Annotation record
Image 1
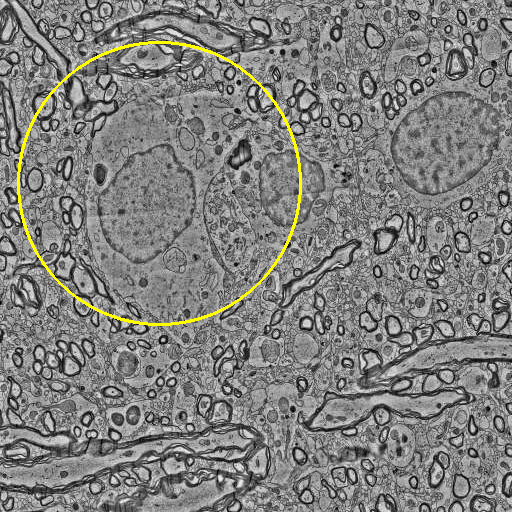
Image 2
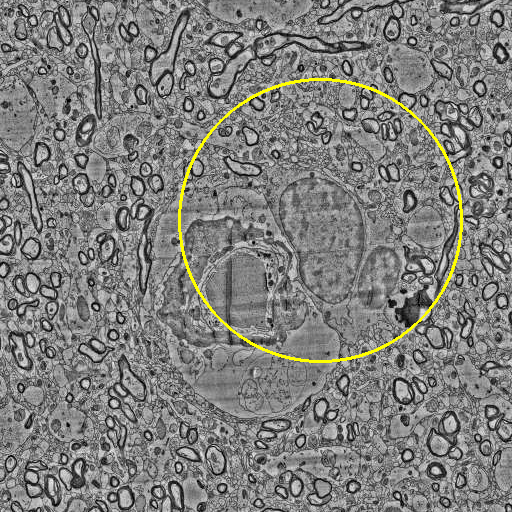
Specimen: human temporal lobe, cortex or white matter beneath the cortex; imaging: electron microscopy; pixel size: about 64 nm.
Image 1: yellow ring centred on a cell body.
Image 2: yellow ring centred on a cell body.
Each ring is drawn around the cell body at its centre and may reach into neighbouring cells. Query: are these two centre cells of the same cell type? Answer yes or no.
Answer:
no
